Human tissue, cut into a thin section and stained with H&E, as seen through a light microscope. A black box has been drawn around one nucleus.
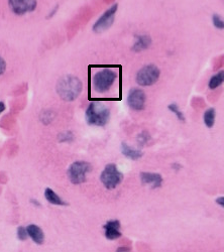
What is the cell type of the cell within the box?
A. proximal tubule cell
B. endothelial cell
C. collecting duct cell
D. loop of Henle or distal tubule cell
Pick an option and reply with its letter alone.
D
